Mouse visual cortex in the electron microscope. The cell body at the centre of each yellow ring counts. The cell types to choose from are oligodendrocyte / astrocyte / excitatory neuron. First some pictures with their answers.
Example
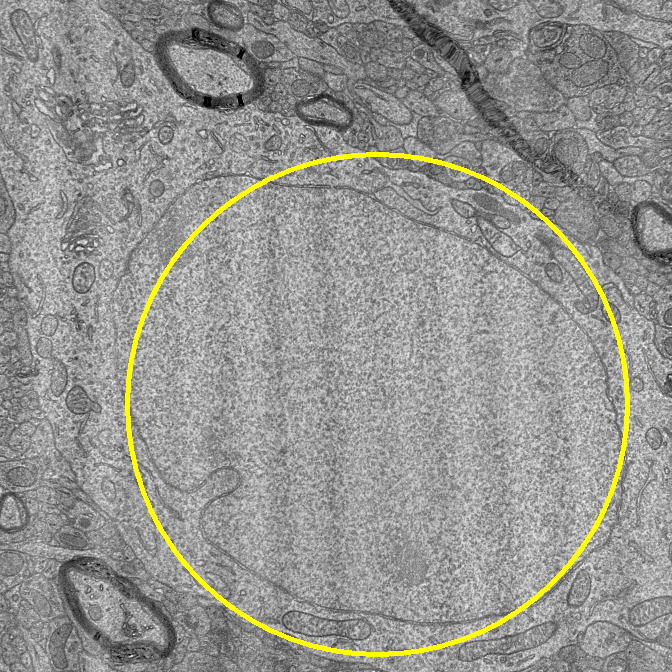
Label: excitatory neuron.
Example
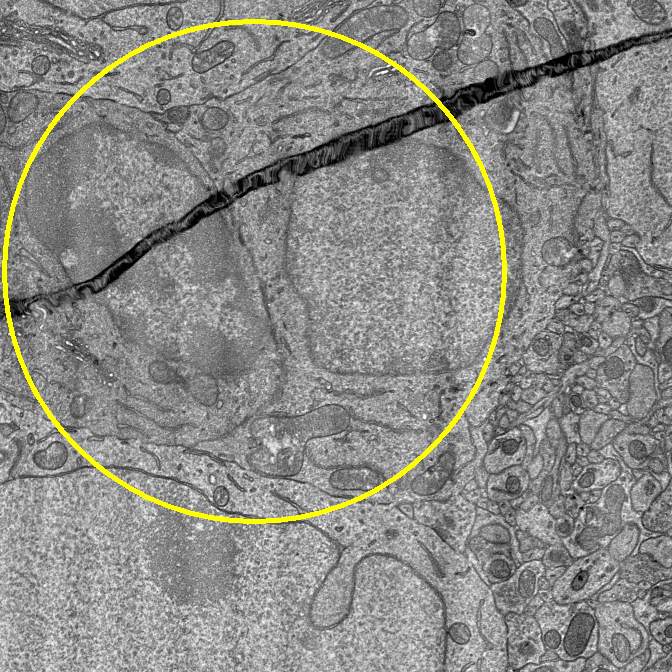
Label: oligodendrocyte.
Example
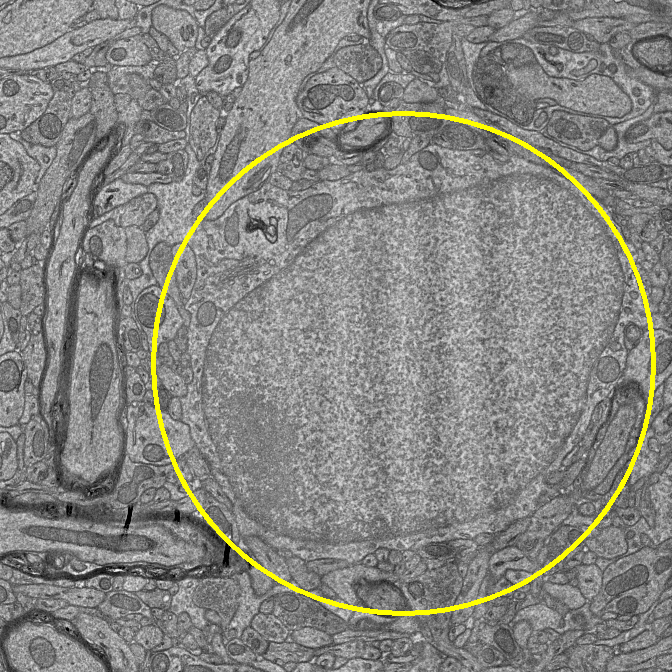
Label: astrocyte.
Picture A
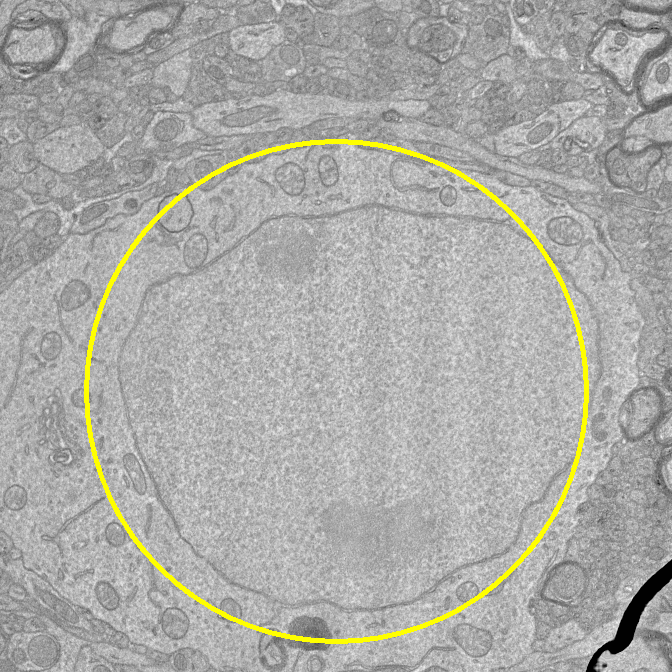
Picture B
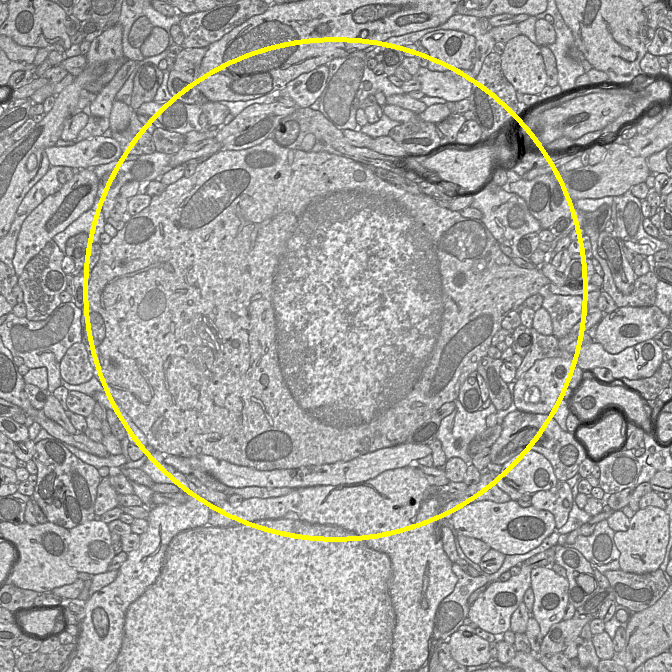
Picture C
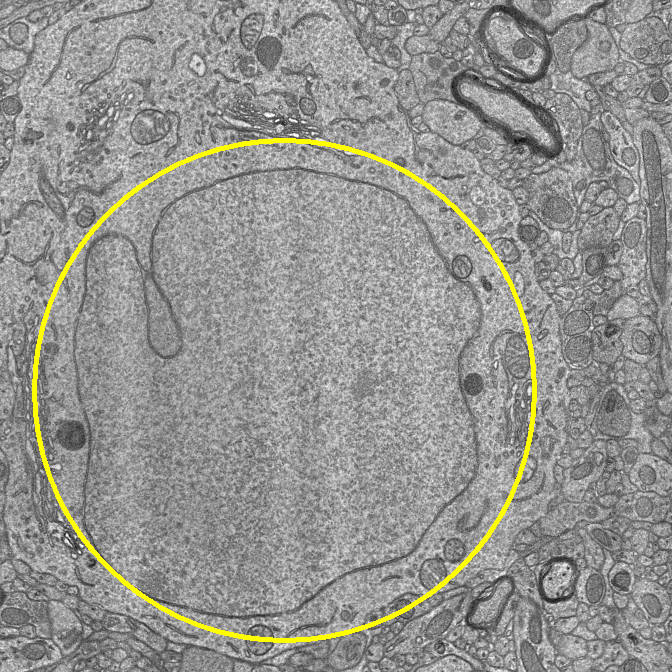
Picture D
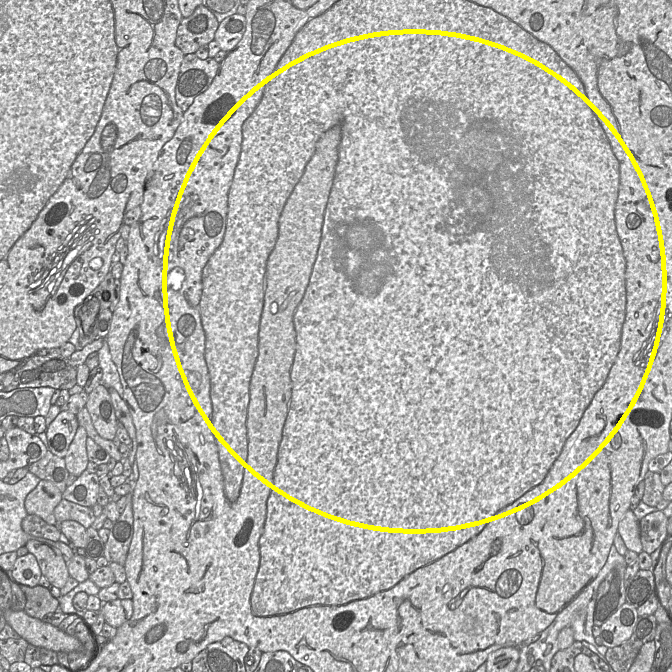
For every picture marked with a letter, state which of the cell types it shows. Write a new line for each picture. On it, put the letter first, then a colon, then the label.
A: excitatory neuron.
B: oligodendrocyte.
C: excitatory neuron.
D: excitatory neuron.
